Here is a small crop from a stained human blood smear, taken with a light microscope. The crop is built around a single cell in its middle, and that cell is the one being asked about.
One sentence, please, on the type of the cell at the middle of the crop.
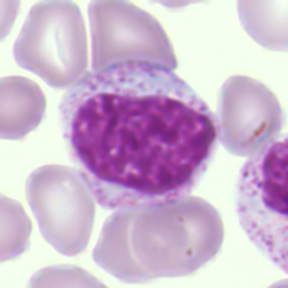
For this crop, the central cell is a metamyelocyte.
